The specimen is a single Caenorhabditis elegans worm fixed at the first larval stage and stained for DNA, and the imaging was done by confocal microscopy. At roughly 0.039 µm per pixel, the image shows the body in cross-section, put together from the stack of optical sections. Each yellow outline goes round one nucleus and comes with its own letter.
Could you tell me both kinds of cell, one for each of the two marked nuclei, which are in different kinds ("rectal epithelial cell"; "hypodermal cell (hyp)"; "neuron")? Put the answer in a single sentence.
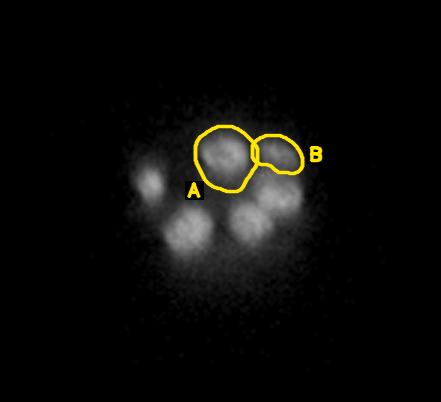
A is the nucleus of a neuron; B is the nucleus of a hypodermal cell (hyp).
